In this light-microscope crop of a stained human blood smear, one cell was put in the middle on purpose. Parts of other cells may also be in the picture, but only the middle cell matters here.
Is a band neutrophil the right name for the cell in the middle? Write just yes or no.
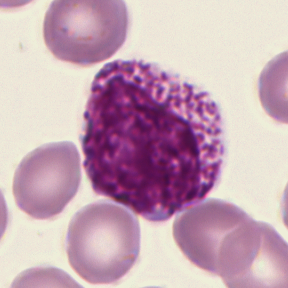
no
